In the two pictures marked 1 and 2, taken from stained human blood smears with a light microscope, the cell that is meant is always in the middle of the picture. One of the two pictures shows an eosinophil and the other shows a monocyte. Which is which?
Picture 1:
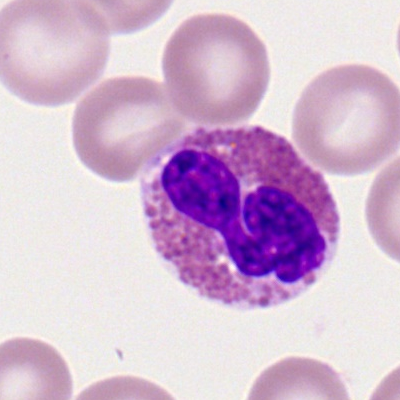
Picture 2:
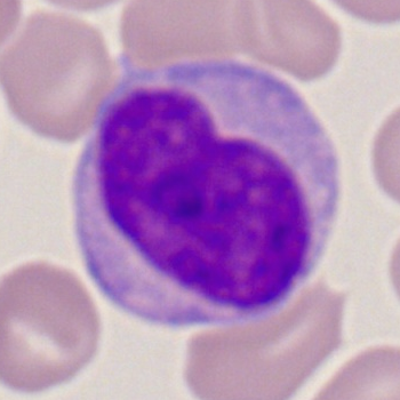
1: eosinophil
2: monocyte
